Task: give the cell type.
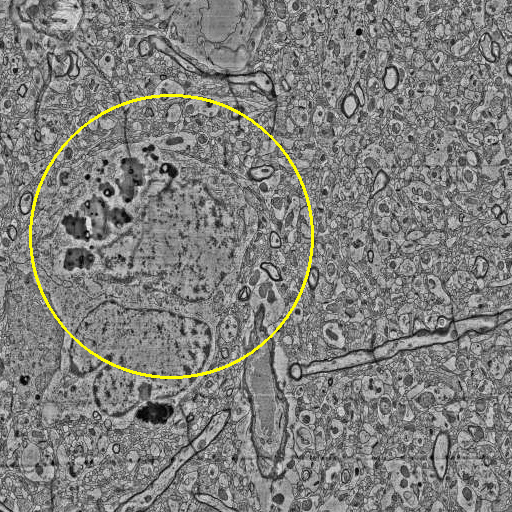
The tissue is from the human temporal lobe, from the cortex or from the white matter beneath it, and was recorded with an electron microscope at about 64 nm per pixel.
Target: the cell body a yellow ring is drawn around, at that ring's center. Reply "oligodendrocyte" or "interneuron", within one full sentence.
In this picture, the cell whose body lies at the ring's center is an interneuron.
